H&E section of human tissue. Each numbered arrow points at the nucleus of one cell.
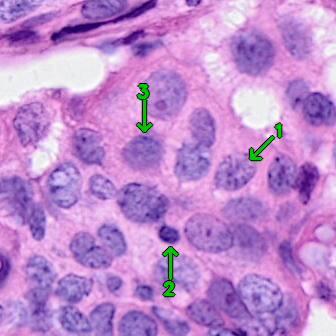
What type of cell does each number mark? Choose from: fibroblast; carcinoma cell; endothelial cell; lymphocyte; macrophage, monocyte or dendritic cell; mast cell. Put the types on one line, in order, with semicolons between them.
carcinoma cell; lymphocyte; carcinoma cell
